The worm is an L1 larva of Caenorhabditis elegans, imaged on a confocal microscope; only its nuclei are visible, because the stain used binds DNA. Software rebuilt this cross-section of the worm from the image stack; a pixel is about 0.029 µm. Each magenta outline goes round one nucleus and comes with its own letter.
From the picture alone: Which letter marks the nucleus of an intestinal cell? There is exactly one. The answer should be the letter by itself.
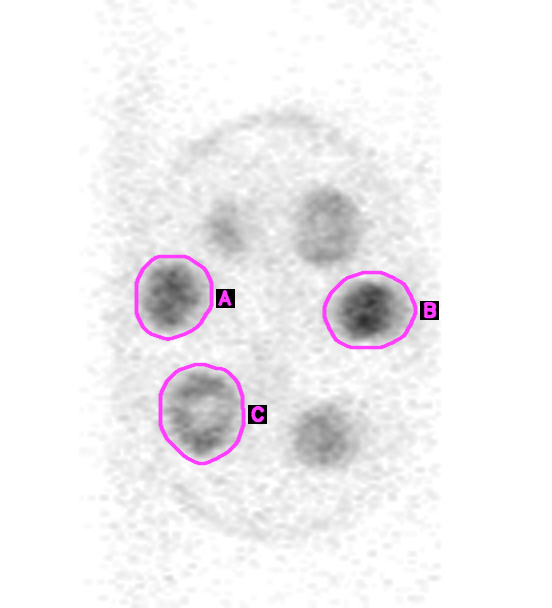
C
